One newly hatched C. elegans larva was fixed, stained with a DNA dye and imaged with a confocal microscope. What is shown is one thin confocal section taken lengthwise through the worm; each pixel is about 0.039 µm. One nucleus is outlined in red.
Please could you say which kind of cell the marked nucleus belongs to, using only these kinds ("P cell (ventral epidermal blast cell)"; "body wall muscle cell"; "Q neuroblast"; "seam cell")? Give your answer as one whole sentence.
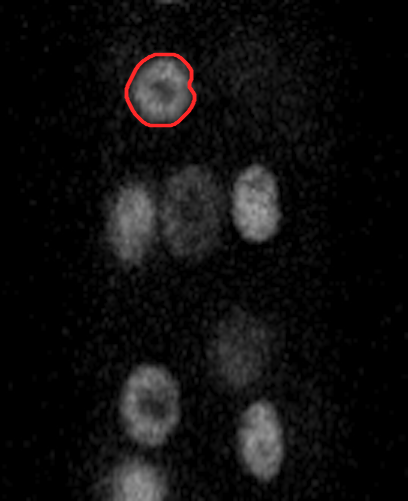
The nucleus comes from a Q neuroblast.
